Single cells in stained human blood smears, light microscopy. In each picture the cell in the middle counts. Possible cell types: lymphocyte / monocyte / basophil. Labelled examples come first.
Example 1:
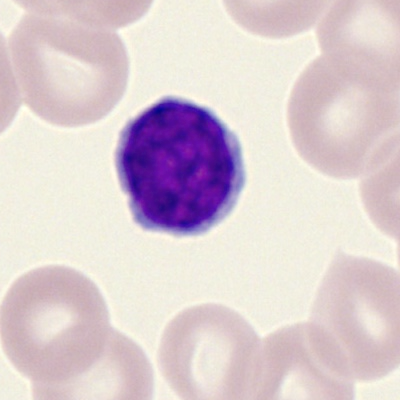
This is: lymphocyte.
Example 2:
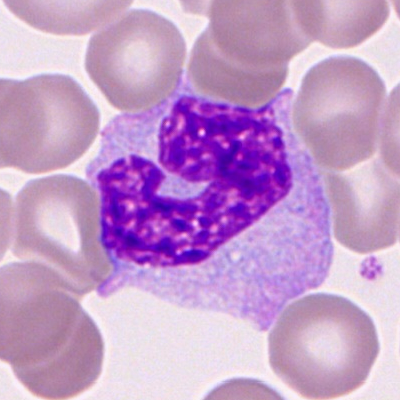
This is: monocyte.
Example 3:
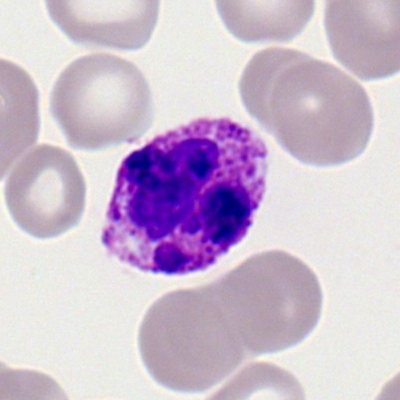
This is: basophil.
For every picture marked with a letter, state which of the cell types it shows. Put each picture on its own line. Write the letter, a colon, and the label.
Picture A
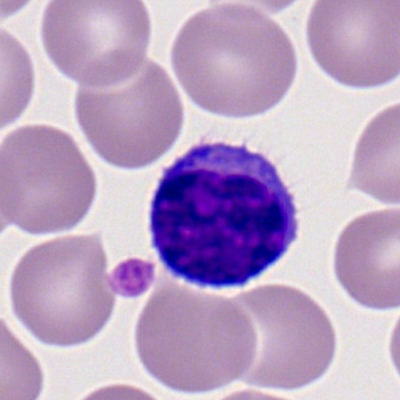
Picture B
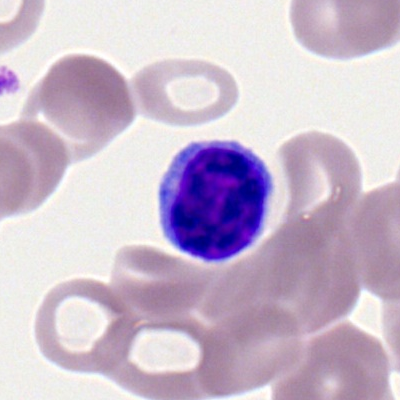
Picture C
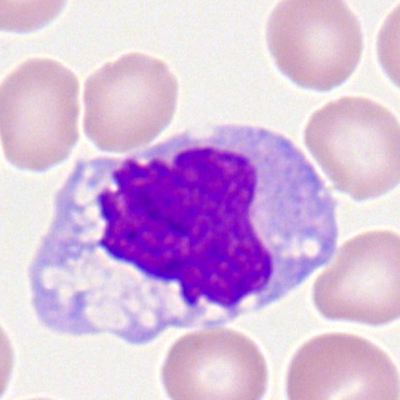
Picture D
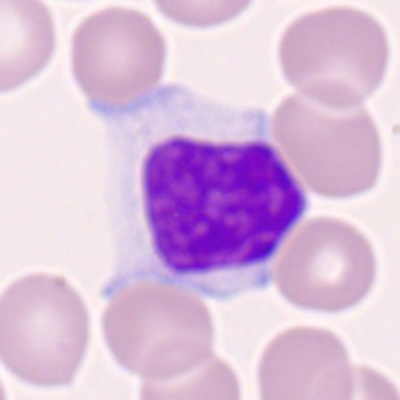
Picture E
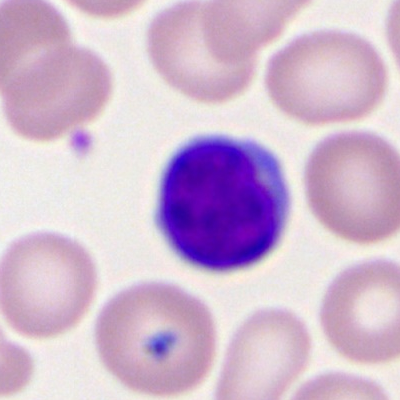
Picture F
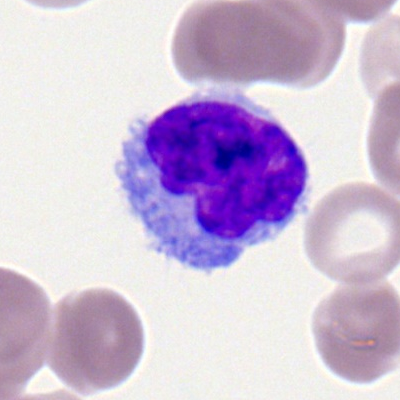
A: lymphocyte.
B: lymphocyte.
C: monocyte.
D: lymphocyte.
E: lymphocyte.
F: lymphocyte.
